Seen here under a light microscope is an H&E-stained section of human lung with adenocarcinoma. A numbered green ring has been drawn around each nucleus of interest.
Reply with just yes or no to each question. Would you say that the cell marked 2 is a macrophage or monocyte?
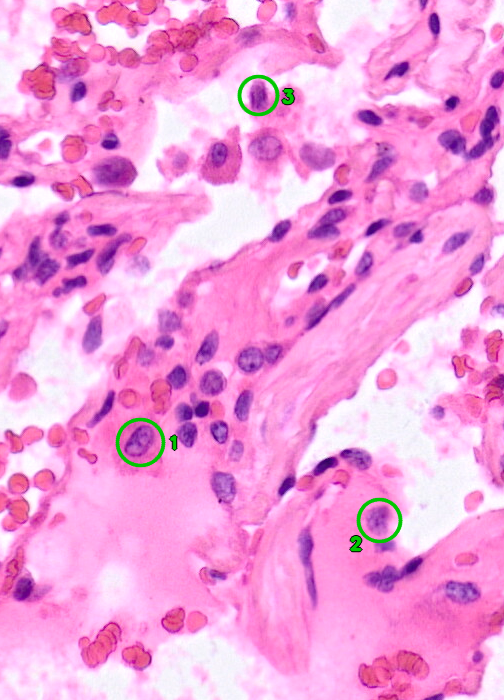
no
